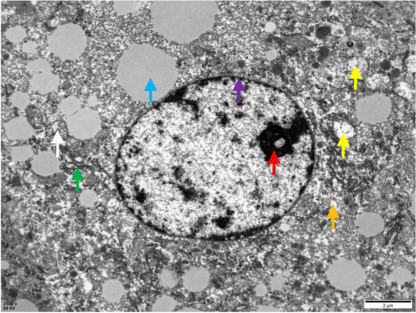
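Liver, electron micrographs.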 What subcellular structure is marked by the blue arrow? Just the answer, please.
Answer: Intracytoplasmic lipid structure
